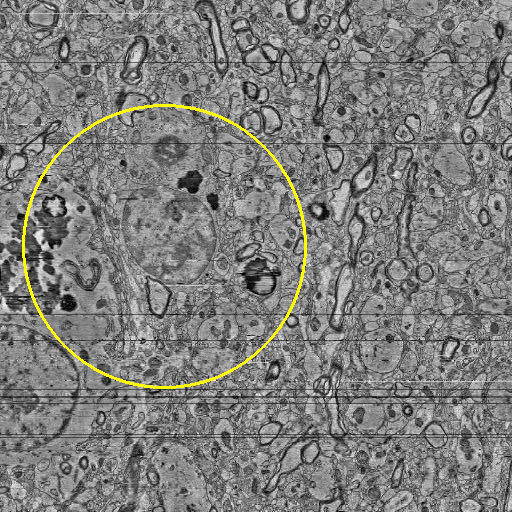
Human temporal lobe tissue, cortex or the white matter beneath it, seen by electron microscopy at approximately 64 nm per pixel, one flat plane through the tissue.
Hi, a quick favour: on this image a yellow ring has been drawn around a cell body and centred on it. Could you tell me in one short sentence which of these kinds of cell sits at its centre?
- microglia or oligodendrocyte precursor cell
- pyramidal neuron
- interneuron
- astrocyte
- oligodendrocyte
The ring is centred on an oligodendrocyte.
